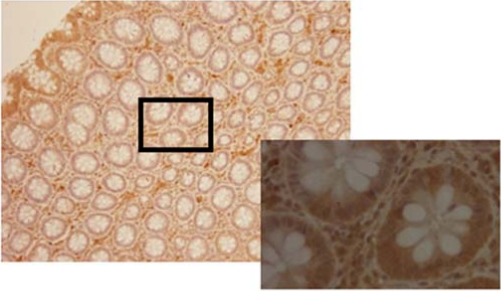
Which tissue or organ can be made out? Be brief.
Normal colon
